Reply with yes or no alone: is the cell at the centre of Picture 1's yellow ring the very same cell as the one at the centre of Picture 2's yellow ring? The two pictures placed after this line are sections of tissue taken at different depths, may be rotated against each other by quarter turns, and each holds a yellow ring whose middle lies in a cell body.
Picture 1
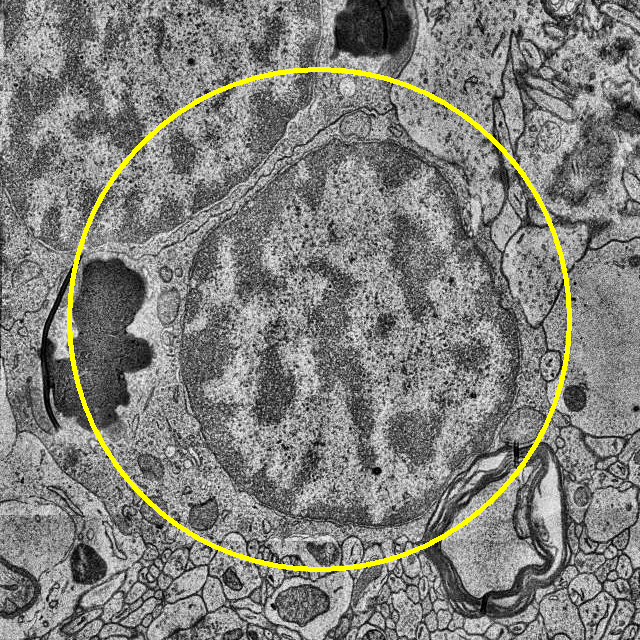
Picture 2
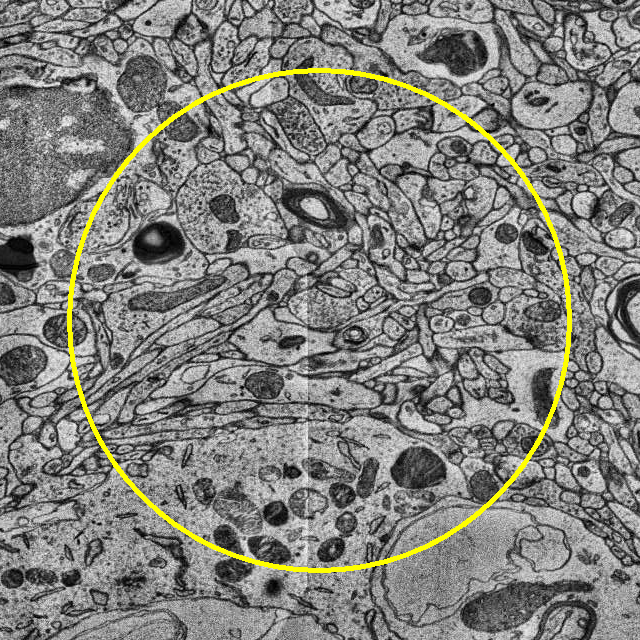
yes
